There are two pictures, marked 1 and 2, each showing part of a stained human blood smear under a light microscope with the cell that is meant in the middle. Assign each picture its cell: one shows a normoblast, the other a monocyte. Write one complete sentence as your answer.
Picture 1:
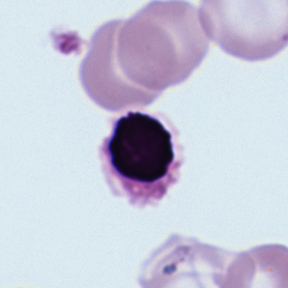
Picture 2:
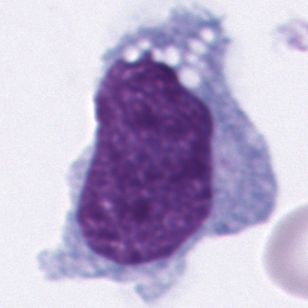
It is picture 1 that shows a normoblast, and picture 2 that shows a monocyte.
